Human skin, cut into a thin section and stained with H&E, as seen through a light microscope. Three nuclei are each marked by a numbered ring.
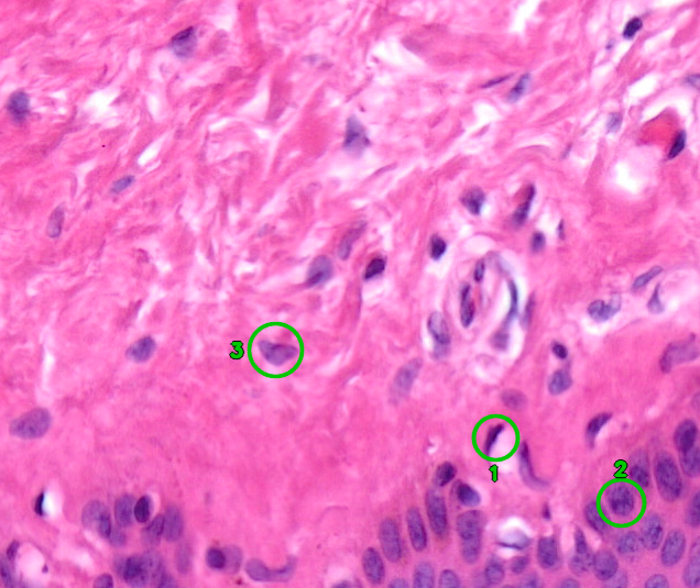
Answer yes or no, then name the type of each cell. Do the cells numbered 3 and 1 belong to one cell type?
Yes, both are fibroblasts.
